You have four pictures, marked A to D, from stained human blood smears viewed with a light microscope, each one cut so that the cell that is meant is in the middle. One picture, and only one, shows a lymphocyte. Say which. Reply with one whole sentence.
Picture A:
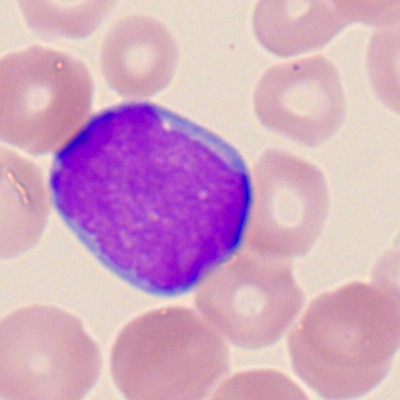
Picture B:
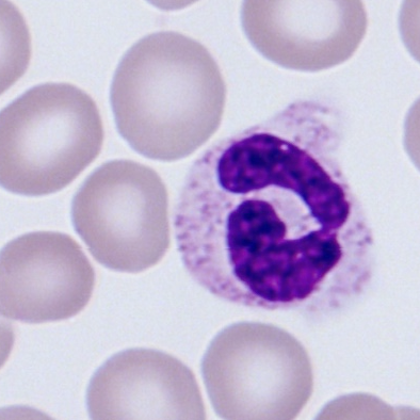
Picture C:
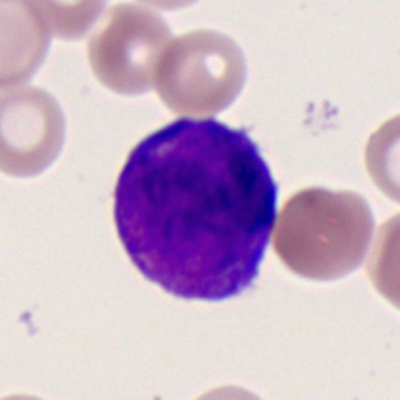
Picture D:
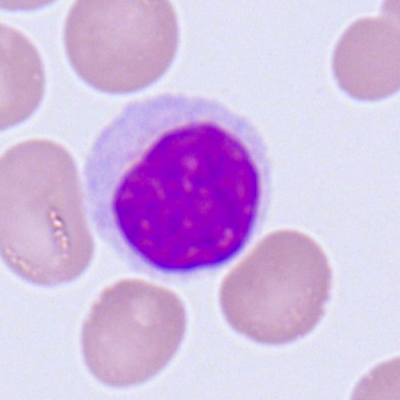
Picture D shows the lymphocyte.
